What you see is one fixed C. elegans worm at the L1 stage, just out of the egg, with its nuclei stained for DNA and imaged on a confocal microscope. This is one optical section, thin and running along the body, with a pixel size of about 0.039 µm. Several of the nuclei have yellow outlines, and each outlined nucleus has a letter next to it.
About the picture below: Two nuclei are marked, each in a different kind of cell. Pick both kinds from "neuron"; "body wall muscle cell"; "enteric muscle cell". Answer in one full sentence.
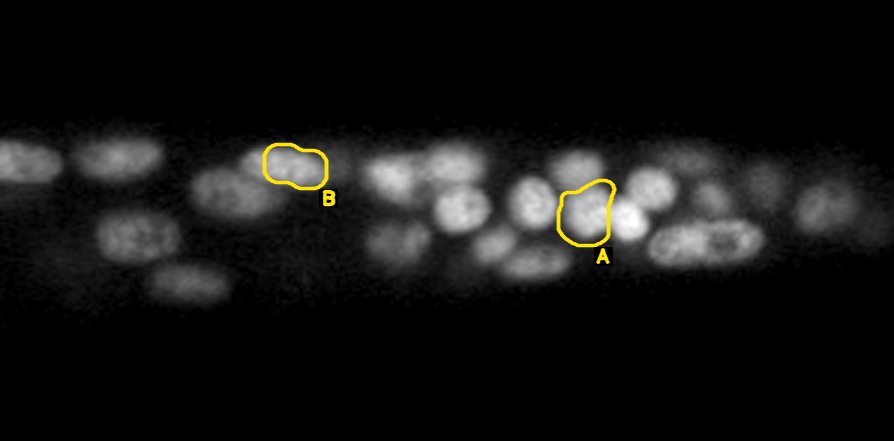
The nucleus A is that of a neuron, while B is that of an enteric muscle cell.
